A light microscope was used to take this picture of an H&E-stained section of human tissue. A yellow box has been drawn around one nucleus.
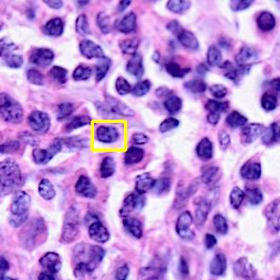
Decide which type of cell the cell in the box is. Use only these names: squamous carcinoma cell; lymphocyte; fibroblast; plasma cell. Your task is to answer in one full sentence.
The correct response here is that the cell in the box is a lymphocyte.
